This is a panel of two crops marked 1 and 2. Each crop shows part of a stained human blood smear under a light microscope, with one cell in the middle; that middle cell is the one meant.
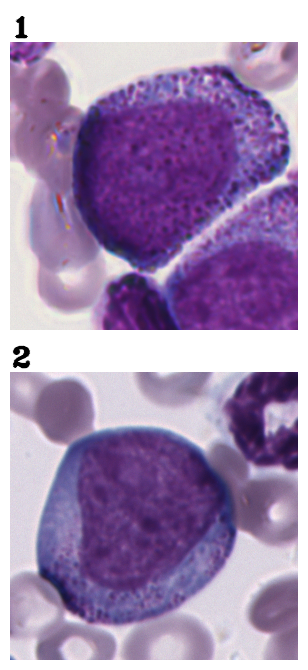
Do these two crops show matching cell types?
yes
